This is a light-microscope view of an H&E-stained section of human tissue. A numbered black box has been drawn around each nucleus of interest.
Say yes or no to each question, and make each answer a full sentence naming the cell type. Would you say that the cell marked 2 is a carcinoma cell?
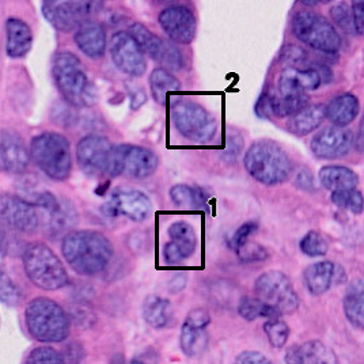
Yes, within this section, cell number 2 is a carcinoma cell.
